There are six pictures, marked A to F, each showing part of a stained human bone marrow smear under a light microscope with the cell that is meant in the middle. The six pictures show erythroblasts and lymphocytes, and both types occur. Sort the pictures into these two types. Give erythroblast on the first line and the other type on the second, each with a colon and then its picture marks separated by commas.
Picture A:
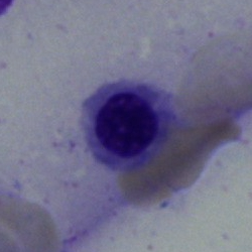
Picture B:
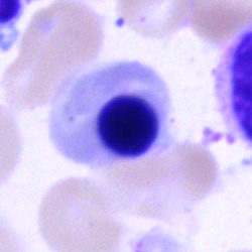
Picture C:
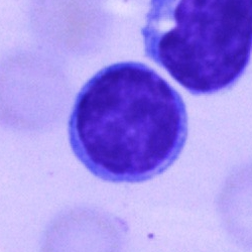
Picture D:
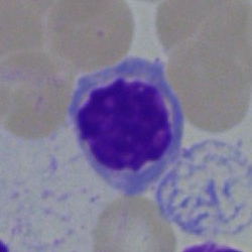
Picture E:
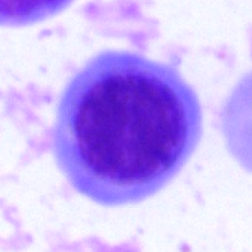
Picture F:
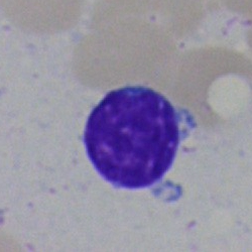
erythroblast: A, B, D, E
lymphocyte: C, F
